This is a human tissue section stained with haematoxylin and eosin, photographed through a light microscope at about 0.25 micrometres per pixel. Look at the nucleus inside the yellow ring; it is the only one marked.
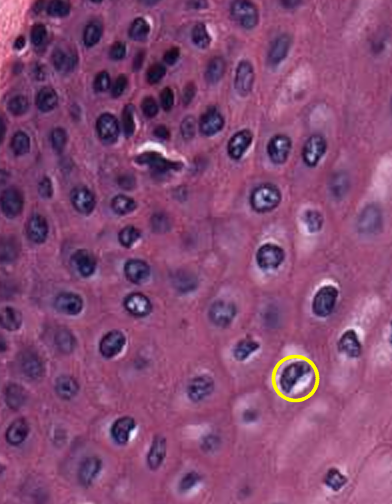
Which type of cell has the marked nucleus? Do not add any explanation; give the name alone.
squamous epithelial cell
